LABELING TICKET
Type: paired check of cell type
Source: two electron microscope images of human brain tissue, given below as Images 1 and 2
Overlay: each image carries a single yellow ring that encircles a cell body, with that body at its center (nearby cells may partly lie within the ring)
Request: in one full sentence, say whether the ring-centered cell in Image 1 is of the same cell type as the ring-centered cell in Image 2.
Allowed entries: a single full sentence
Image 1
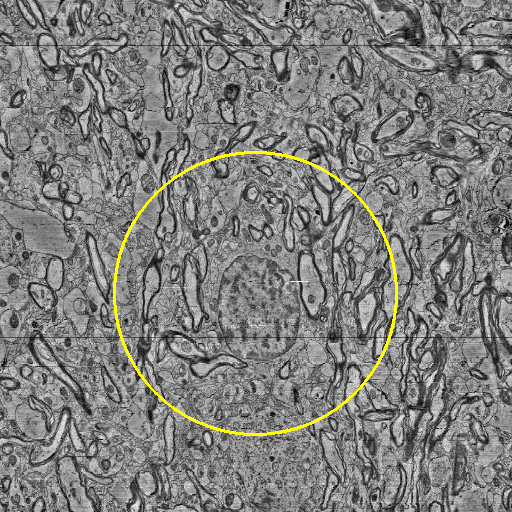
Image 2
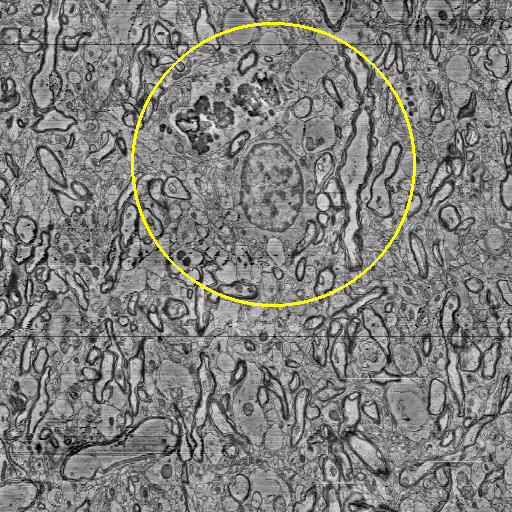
Yes, the cells centered in the rings of Image 1 and Image 2 share one type.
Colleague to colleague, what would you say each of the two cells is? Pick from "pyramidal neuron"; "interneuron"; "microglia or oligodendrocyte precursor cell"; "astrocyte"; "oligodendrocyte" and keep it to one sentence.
Each of the two rings is centred on an oligodendrocyte.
